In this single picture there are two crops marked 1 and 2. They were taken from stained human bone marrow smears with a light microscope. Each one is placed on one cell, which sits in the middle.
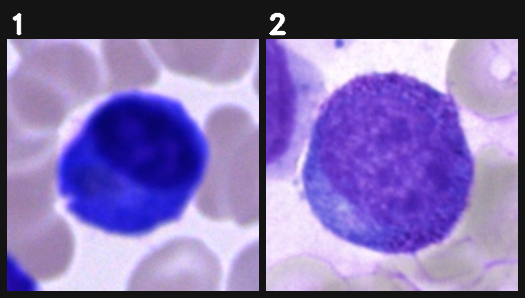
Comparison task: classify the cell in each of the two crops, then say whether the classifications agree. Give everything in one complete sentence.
No, crop 1 matches a plasma cell and crop 2 matches a promyelocyte.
